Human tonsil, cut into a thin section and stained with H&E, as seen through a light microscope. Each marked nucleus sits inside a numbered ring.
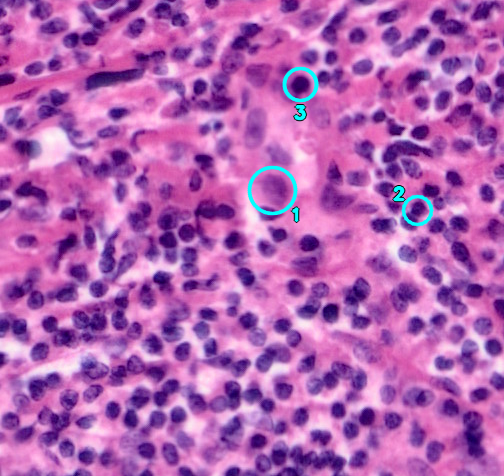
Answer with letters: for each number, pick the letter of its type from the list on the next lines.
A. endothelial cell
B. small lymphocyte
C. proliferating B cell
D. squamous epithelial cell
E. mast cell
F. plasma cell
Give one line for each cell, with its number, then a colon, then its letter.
1: A
2: B
3: A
